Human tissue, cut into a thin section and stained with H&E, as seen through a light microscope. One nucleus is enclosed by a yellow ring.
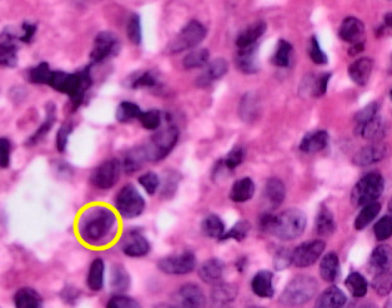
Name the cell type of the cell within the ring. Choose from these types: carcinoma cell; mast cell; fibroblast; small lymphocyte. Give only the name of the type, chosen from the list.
carcinoma cell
